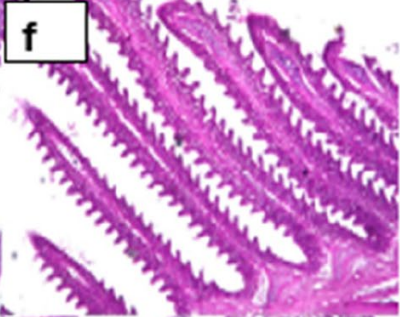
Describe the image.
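Gill tissue showing several long filaments lying side by side and running diagonally, joined at one end to a pink-staining base. Each filament has a central axis stained pink to purple, and along both of its edges stand rows of short, evenly spaced lamellae like the teeth of a comb. The lamellae are thin and regularly spaced, with clear spaces between neighbouring ones, and the filaments are separated from each other by open gaps. The surfaces are covered by a thin purple-staining cellular layer.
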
